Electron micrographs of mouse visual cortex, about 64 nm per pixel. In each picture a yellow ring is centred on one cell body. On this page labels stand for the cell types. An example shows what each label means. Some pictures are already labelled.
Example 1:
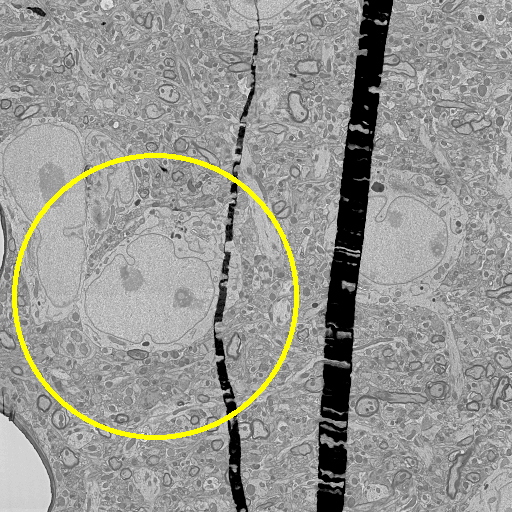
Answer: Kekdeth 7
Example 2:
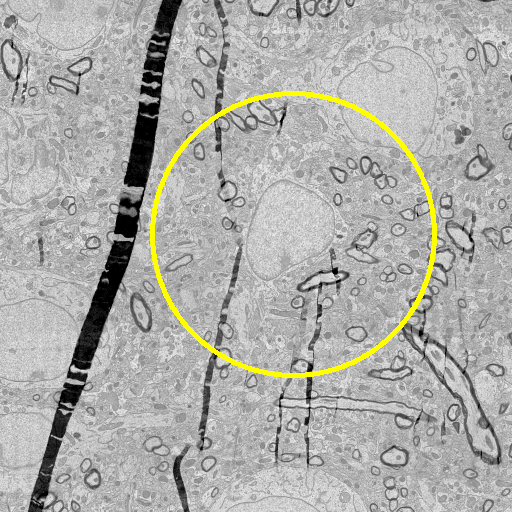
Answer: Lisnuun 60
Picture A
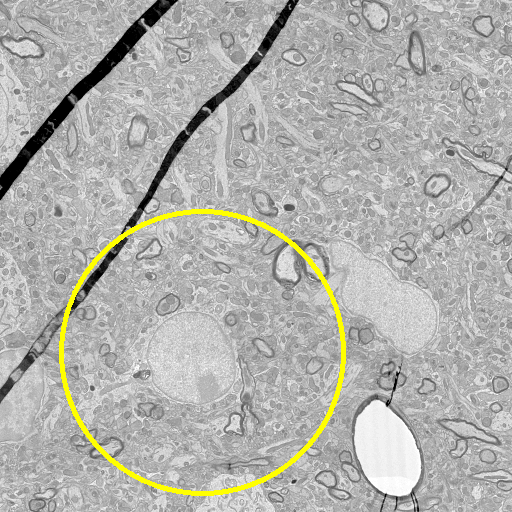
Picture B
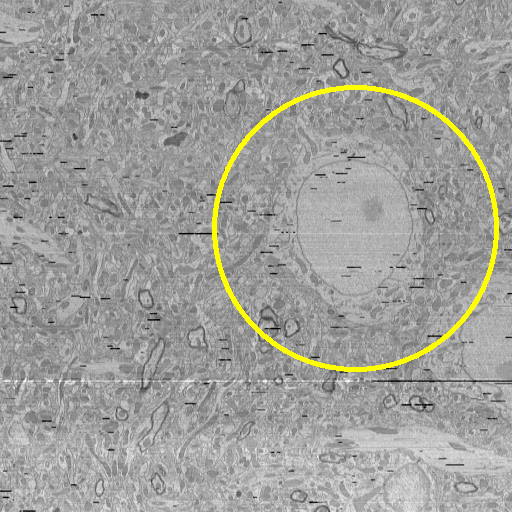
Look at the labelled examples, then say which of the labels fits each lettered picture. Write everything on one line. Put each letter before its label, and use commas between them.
A Lisnuun 60, B Kekdeth 7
